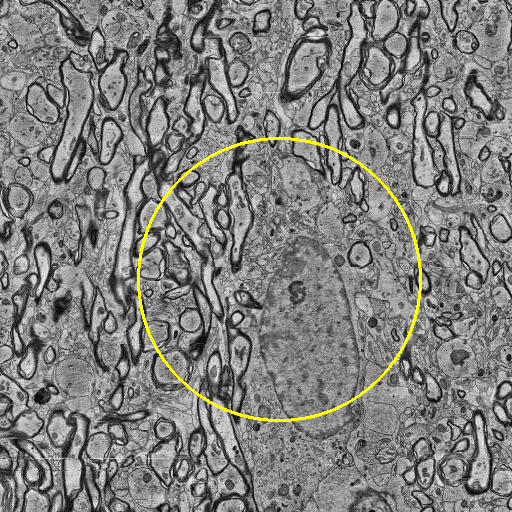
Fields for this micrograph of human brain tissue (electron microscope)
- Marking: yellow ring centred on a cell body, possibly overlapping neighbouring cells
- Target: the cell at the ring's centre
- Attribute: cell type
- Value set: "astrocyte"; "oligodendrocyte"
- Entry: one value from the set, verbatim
oligodendrocyte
